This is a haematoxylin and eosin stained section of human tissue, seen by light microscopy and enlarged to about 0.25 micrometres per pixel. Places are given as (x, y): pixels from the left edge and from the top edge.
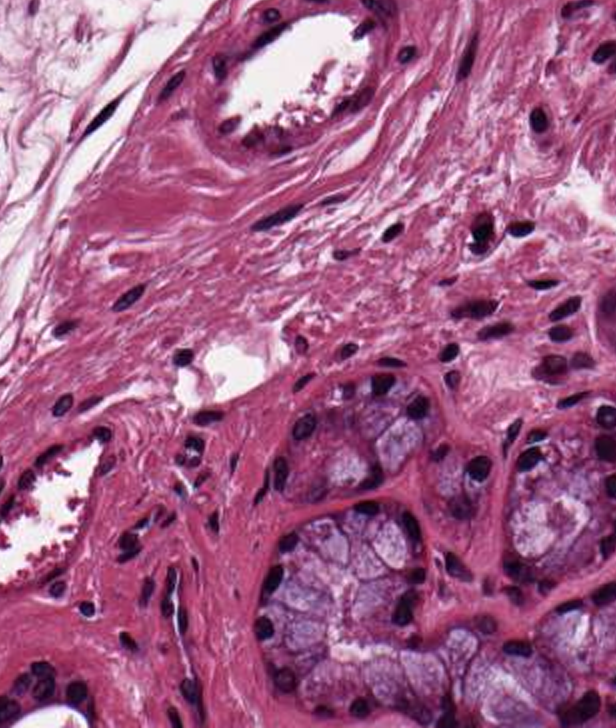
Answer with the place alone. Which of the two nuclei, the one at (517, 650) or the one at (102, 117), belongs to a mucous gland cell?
(517, 650)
